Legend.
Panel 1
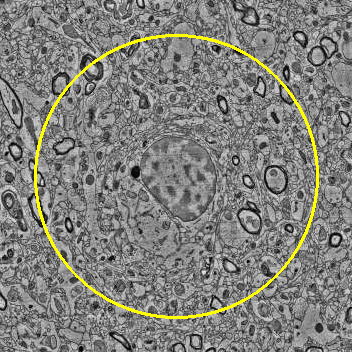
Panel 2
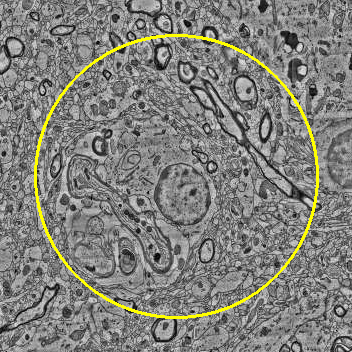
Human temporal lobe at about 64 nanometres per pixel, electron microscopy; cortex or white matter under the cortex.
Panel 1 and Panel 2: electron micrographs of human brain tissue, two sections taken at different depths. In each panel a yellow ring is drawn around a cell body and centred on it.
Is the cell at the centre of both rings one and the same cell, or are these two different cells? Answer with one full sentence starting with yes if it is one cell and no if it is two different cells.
No, the rings identify two cells, not one shared cell.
